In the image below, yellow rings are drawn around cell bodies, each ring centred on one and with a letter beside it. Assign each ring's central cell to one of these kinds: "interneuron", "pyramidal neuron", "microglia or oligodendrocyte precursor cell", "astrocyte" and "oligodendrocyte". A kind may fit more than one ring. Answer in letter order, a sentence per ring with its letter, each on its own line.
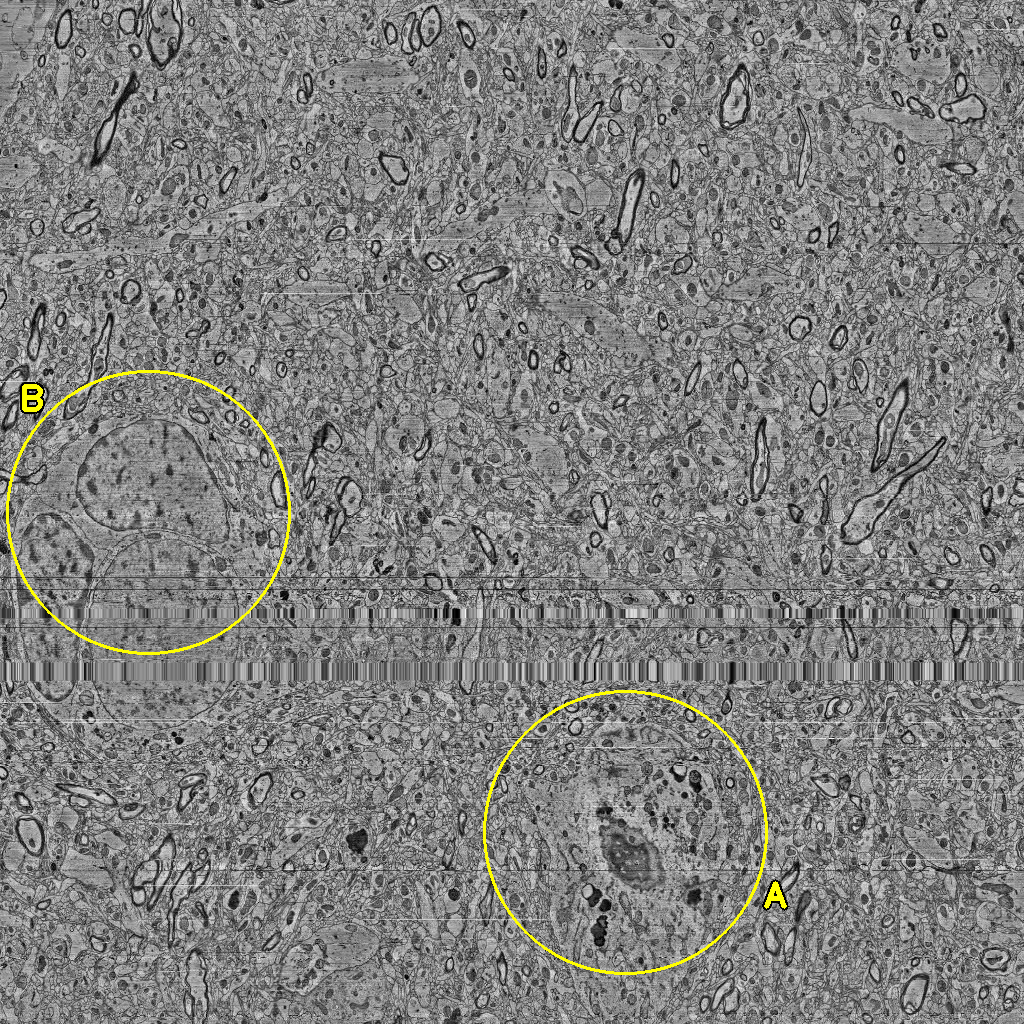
The central cell of ring A is an oligodendrocyte.
The central cell of ring B is a microglial cell or oligodendrocyte precursor cell.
